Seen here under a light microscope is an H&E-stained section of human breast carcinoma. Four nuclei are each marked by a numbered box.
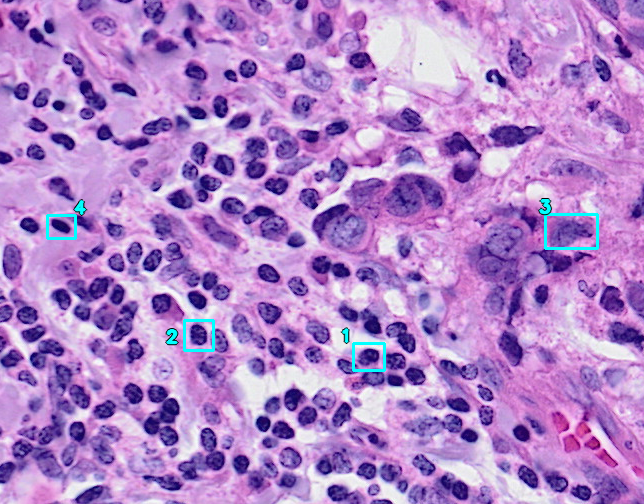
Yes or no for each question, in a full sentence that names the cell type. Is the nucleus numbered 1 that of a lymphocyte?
Yes, a lymphocyte is what the cell numbered 1 is.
